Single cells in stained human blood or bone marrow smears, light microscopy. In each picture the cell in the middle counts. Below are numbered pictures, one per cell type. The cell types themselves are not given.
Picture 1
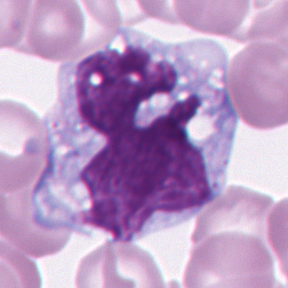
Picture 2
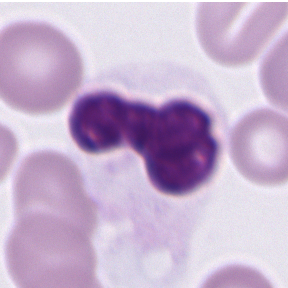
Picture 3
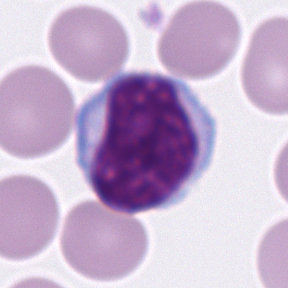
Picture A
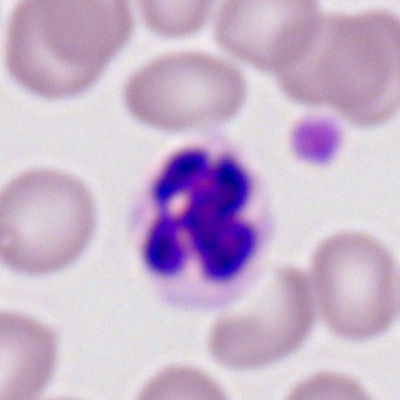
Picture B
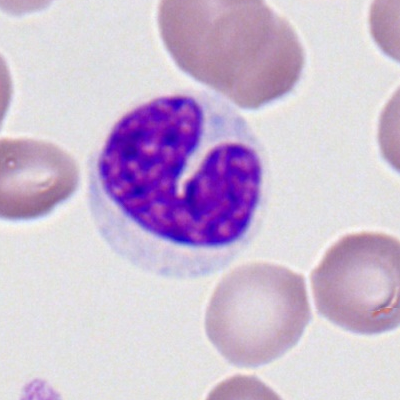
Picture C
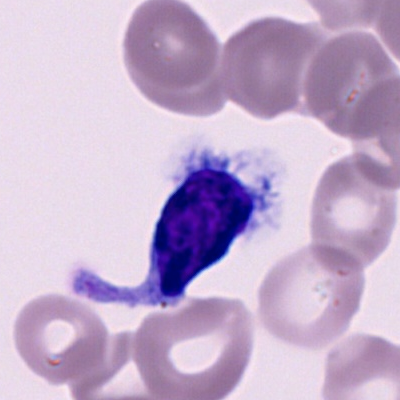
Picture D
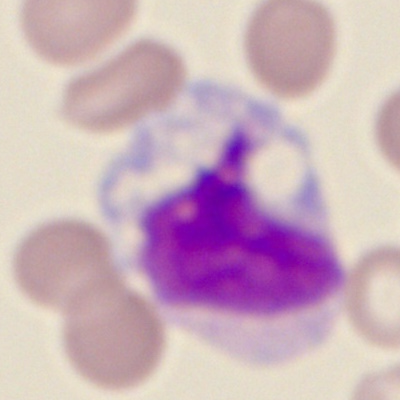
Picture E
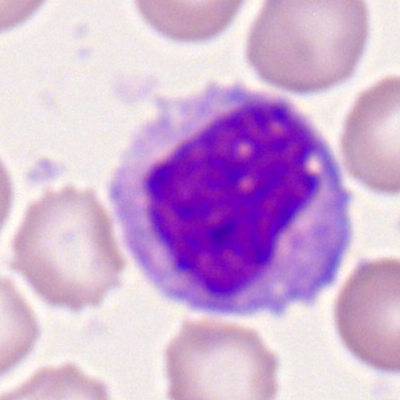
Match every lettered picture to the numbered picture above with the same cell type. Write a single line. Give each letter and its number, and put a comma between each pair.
A 2, B 1, C 3, D 1, E 1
